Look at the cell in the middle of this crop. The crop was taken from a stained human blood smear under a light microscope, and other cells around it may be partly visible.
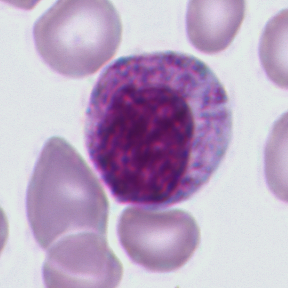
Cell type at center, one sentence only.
As for the central cell, it is a myelocyte.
